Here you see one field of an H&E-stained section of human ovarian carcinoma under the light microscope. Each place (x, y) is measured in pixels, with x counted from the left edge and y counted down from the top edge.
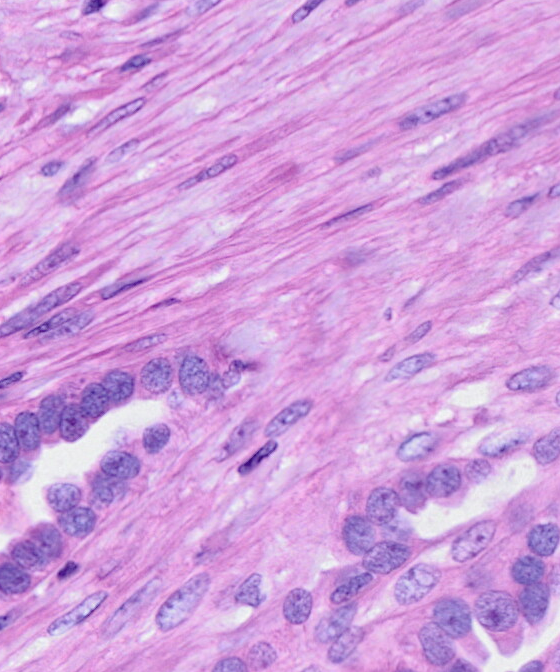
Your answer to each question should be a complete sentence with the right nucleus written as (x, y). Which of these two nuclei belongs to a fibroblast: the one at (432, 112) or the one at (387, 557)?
The nucleus at (432, 112), rather than the other one, belongs to a fibroblast.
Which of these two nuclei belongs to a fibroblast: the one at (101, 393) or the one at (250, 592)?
Rather than the other nucleus, the one at (250, 592) belongs to a fibroblast.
